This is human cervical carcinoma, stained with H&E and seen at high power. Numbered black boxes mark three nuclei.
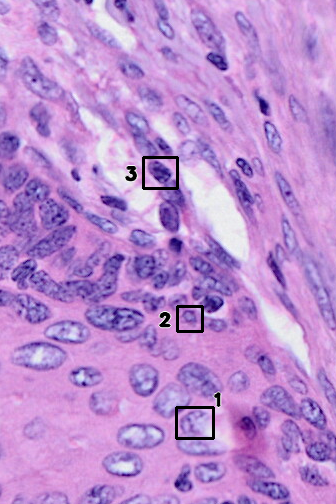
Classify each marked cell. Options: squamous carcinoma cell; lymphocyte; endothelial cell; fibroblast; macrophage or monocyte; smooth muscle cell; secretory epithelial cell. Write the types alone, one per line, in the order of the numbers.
squamous carcinoma cell
squamous carcinoma cell
lymphocyte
